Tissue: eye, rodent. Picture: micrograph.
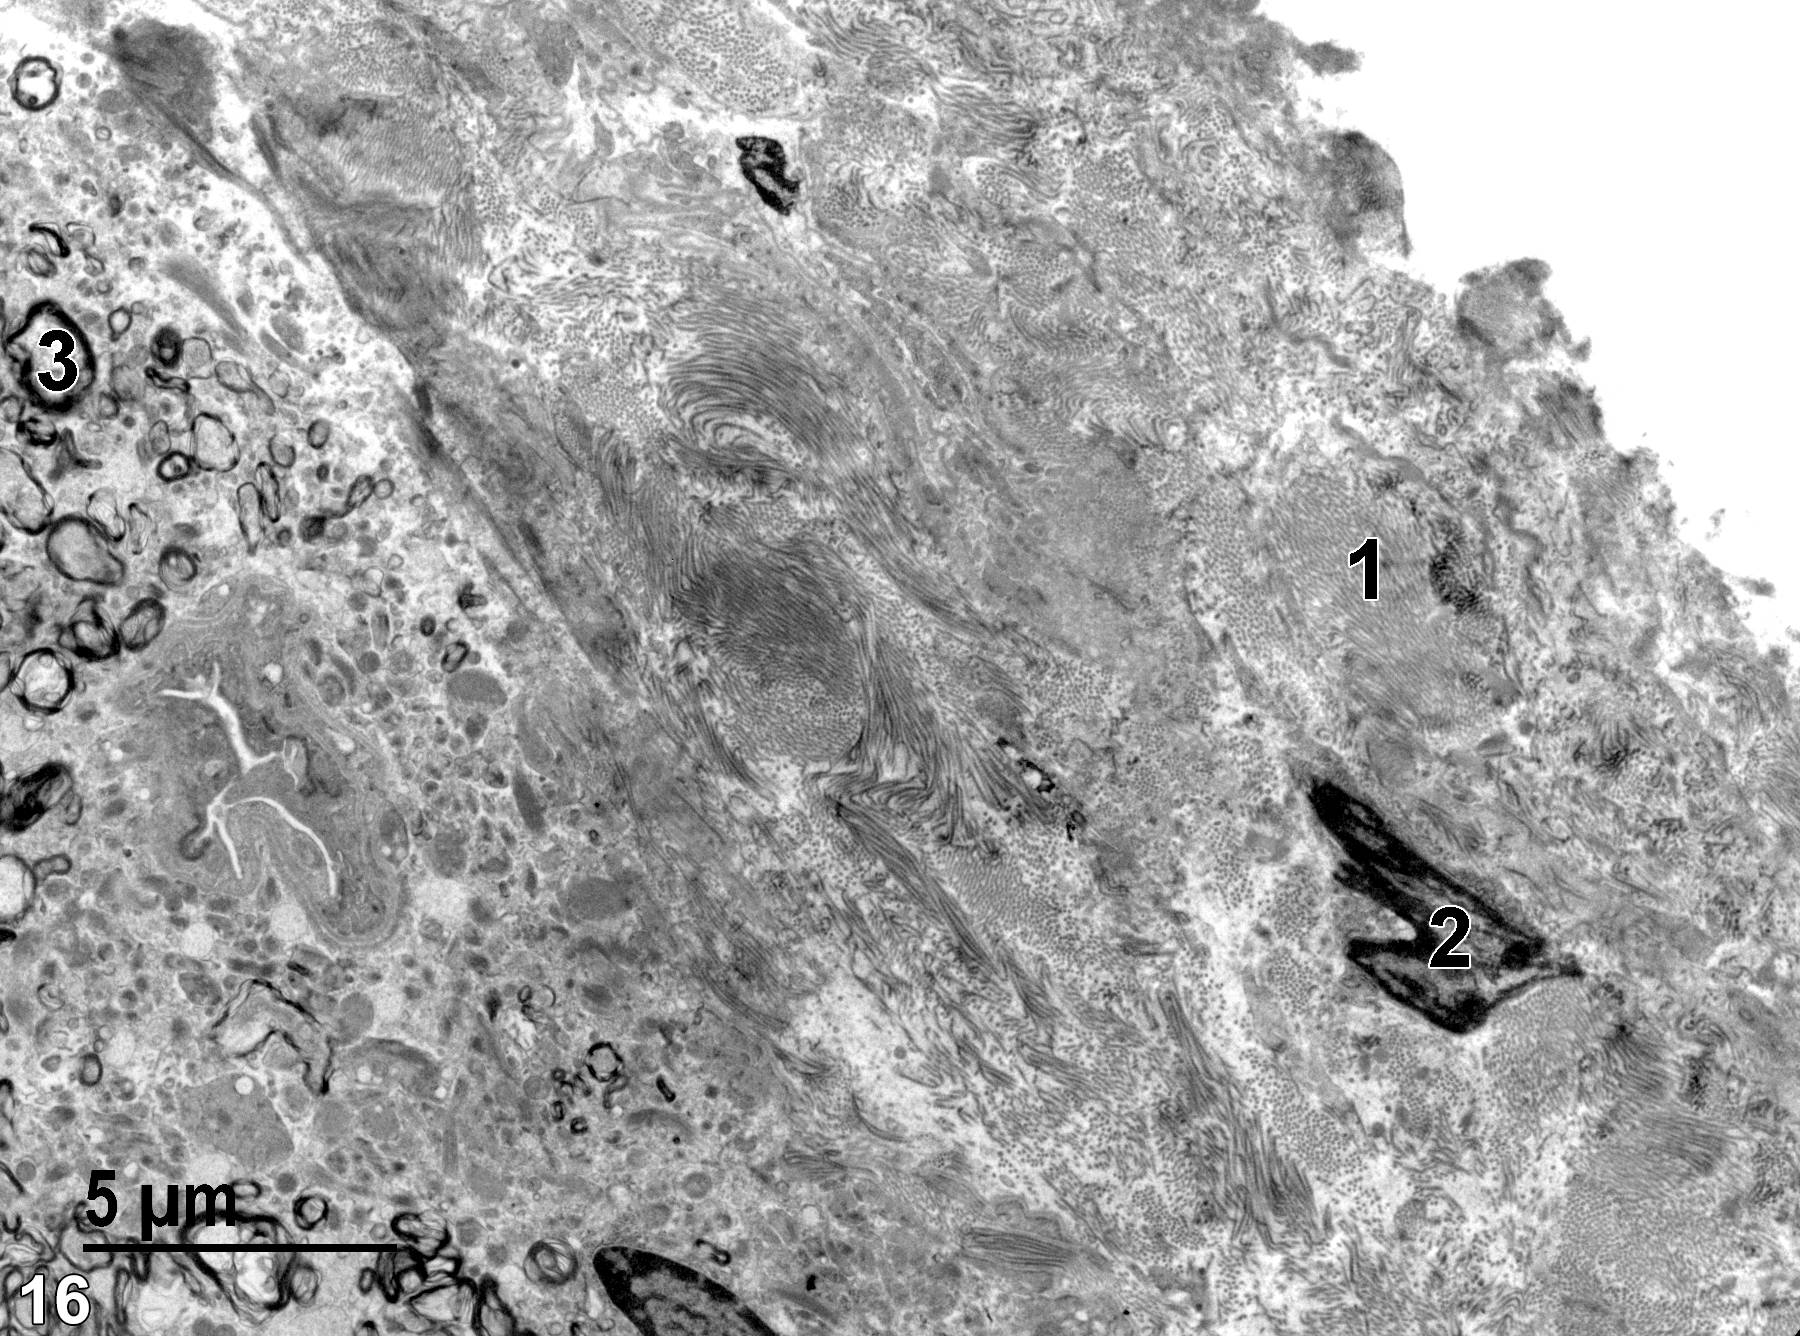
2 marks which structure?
Nucleus of a fibroblast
